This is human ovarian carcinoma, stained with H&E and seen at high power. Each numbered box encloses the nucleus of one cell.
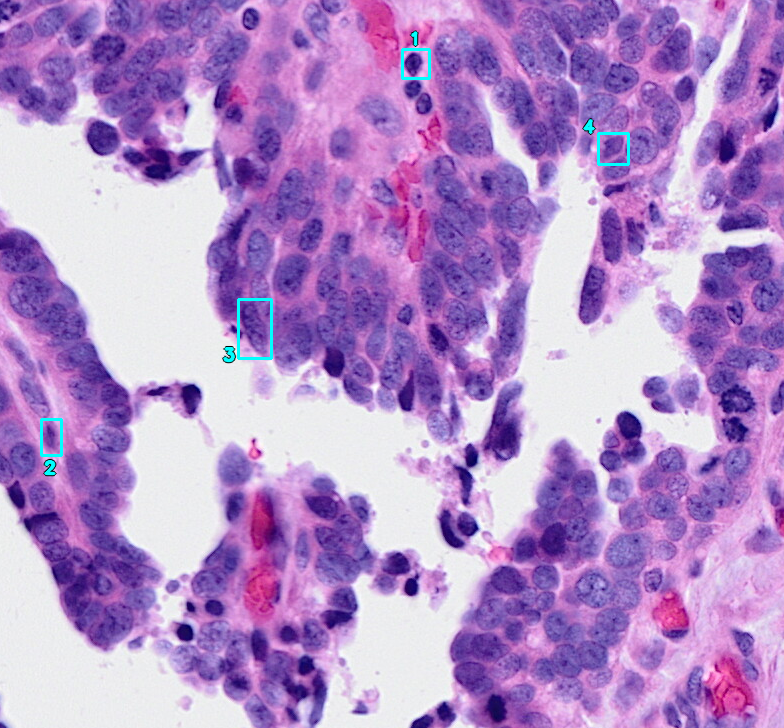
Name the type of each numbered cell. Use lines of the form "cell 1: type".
cell 1: lymphocyte
cell 2: macrophage or monocyte
cell 3: carcinoma cell
cell 4: carcinoma cell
